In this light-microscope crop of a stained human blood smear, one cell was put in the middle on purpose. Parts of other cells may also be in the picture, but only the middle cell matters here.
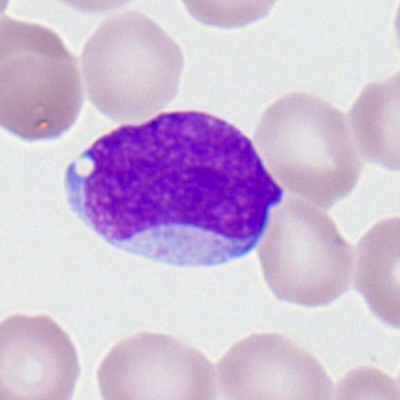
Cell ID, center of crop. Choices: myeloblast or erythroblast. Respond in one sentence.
The cell the crop is centered on is a myeloblast.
